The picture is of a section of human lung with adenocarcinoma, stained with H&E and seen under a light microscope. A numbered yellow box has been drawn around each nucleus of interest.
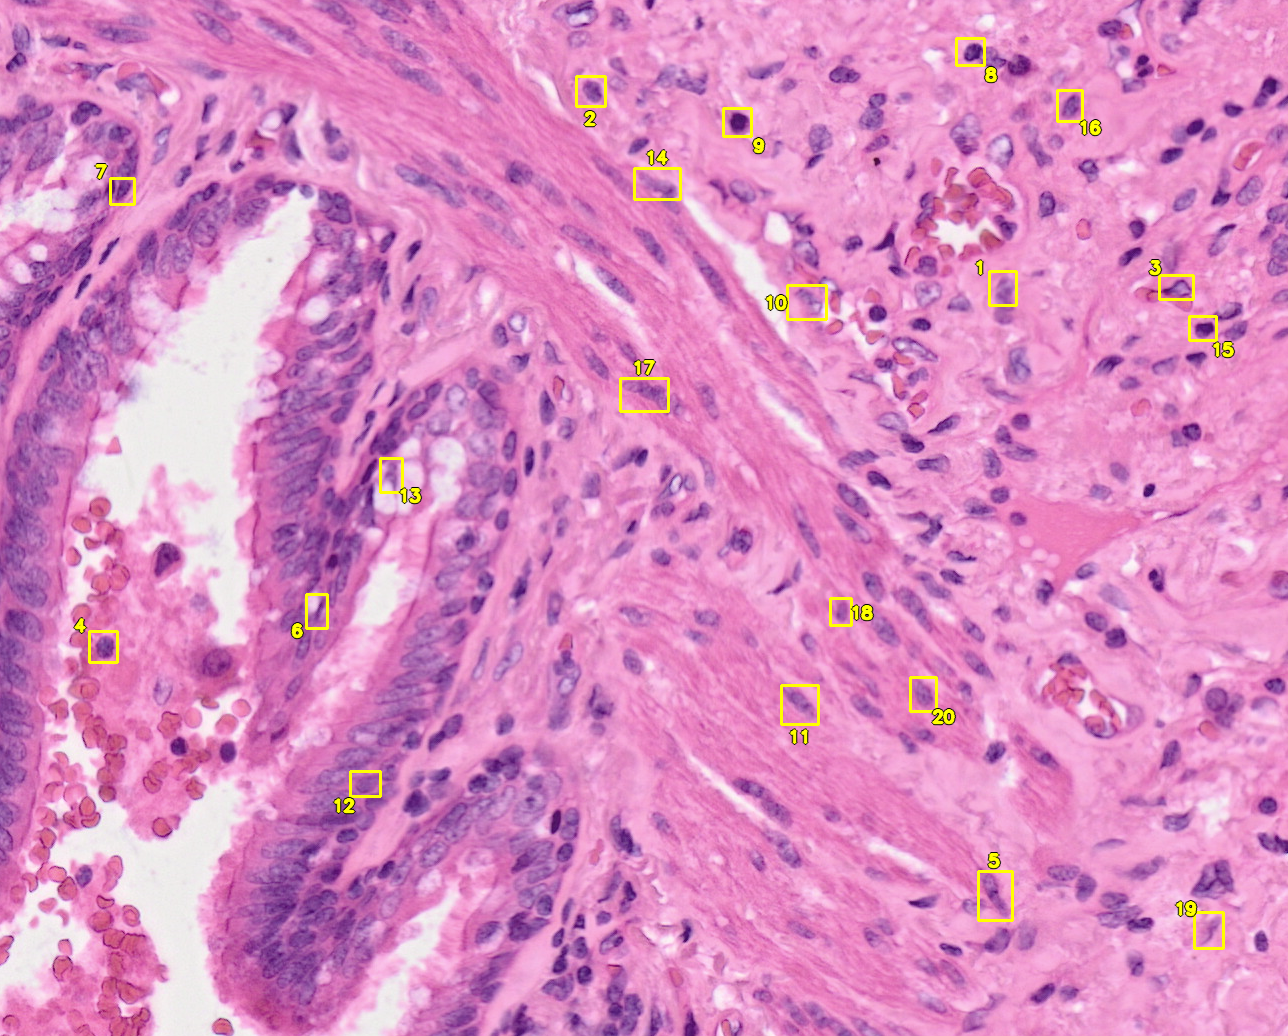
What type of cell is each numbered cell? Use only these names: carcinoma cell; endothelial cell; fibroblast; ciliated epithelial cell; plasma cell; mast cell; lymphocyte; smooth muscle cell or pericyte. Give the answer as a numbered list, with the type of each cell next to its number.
1. fibroblast
2. lymphocyte
3. endothelial cell
4. lymphocyte
5. smooth muscle cell or pericyte
6. ciliated epithelial cell
7. ciliated epithelial cell
8. lymphocyte
9. plasma cell
10. endothelial cell
11. smooth muscle cell or pericyte
12. ciliated epithelial cell
13. ciliated epithelial cell
14. smooth muscle cell or pericyte
15. lymphocyte
16. mast cell
17. smooth muscle cell or pericyte
18. smooth muscle cell or pericyte
19. fibroblast
20. smooth muscle cell or pericyte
